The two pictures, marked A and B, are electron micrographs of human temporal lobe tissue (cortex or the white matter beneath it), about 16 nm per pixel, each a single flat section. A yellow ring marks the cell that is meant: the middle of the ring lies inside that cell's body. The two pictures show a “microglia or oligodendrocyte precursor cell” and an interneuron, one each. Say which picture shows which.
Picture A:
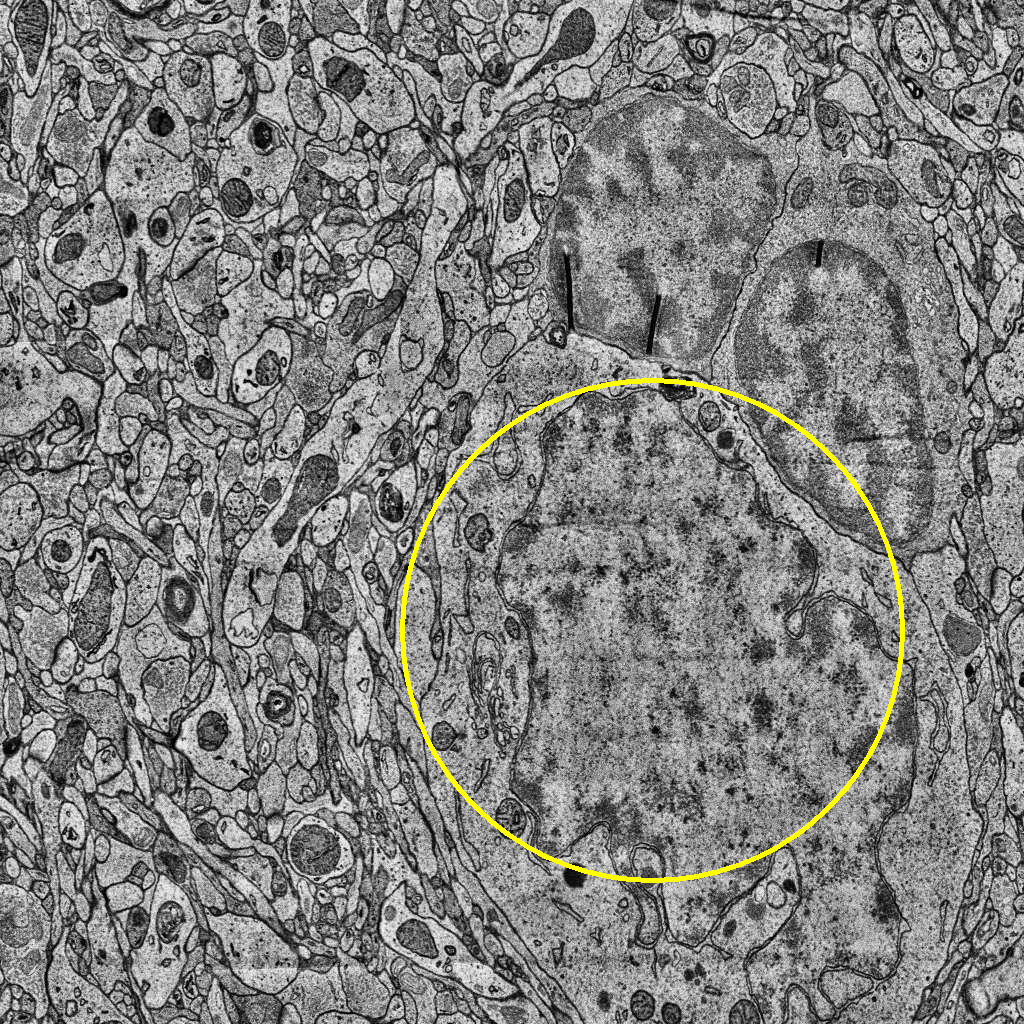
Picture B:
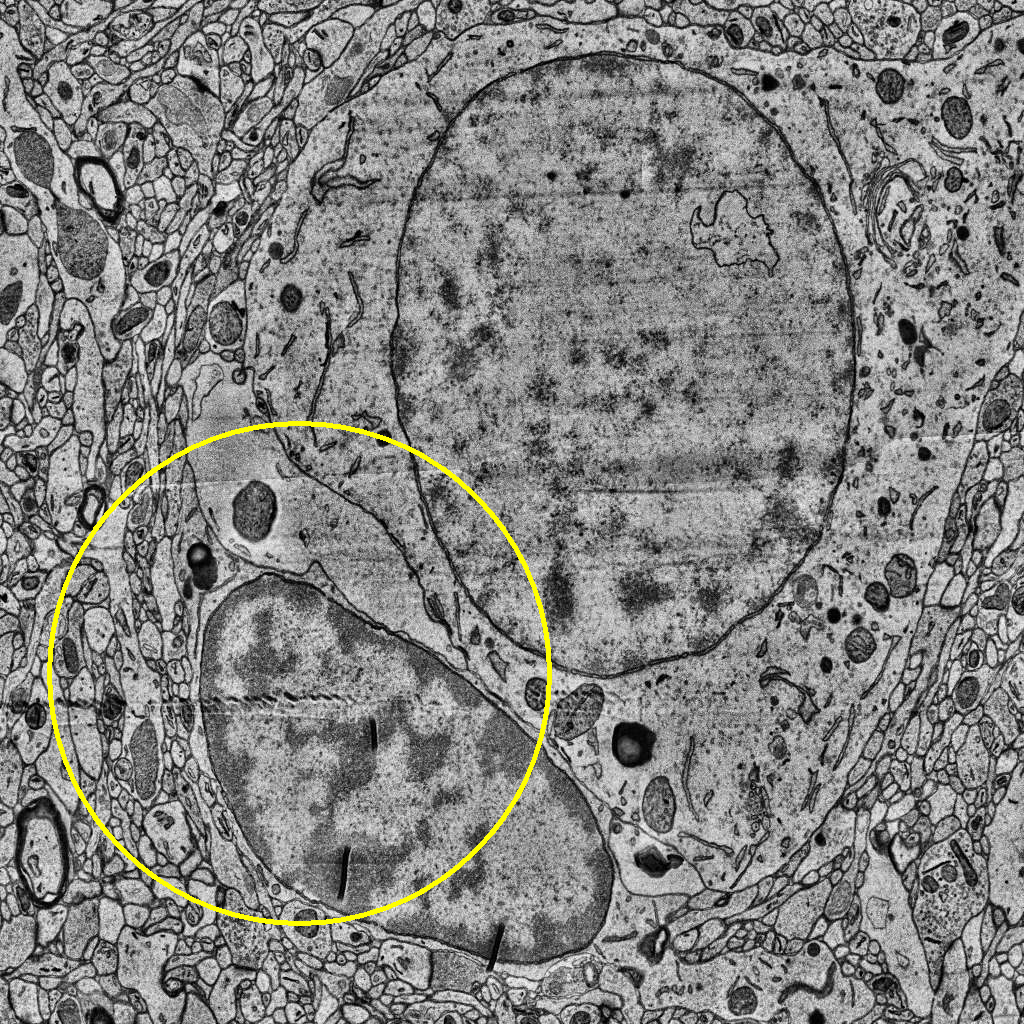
Picture A is of an interneuron, and picture B is of a “microglia or oligodendrocyte precursor cell”.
